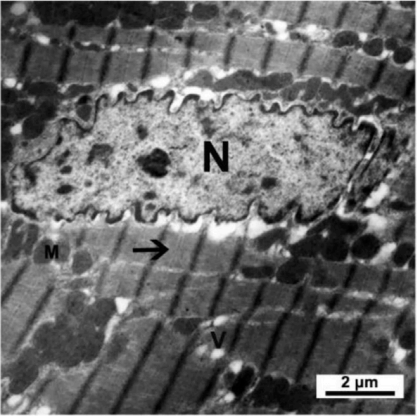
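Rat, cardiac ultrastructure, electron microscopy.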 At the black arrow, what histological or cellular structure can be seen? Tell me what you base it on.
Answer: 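Myofibrils below the nucleus show regularly spaced dark transverse lines. The arrow points into this banded region.
Myofibrillar striations.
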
